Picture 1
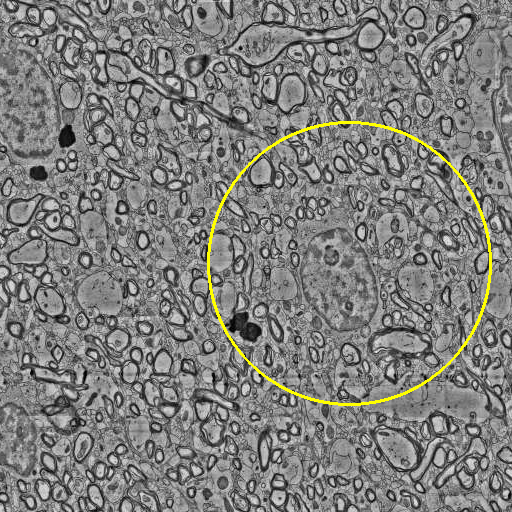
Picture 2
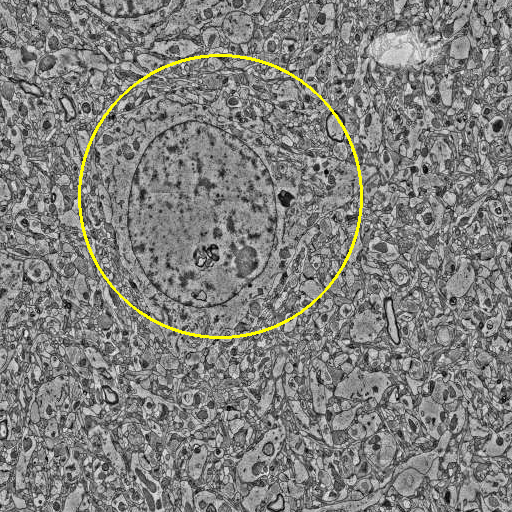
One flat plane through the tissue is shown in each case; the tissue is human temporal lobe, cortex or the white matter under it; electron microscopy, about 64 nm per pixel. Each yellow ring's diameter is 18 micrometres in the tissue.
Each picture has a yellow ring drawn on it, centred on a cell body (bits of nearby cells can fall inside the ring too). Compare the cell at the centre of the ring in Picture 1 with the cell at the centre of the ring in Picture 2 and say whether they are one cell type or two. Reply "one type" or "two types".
two types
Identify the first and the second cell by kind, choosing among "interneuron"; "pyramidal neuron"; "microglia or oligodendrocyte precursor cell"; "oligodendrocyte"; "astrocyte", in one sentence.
The one in the first picture is an oligodendrocyte, while the one in the second is a pyramidal neuron.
